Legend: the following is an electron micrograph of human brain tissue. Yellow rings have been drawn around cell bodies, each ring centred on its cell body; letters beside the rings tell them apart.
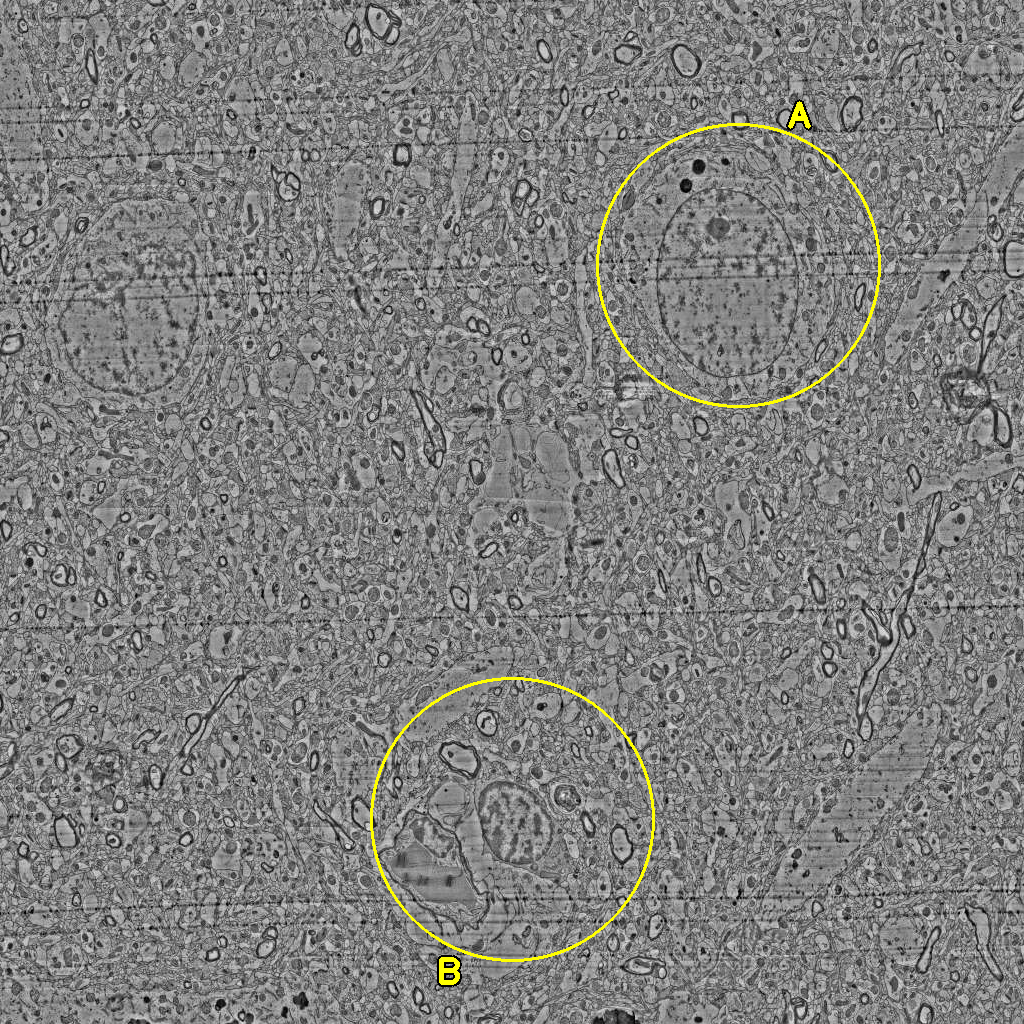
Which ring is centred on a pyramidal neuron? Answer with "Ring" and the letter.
Ring A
